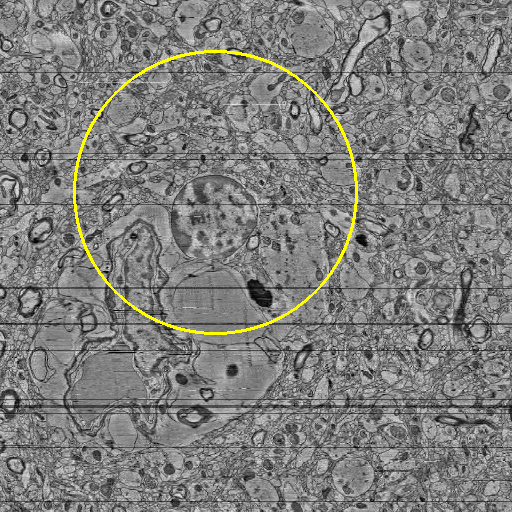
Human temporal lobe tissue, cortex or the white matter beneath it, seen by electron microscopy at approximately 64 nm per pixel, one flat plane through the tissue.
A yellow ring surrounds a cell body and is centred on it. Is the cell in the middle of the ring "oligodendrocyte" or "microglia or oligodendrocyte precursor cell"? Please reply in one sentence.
The ring is centred on a microglial cell or oligodendrocyte precursor cell.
